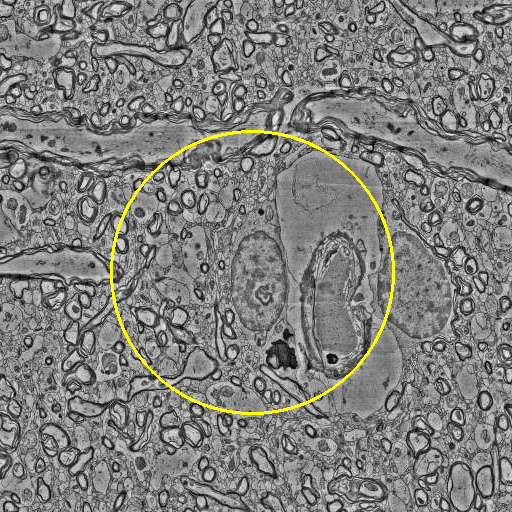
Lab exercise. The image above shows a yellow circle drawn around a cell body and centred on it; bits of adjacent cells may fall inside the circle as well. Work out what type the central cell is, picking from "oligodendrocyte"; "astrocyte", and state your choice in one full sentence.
In the image above, the cell at the centre of the yellow circle is an oligodendrocyte.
